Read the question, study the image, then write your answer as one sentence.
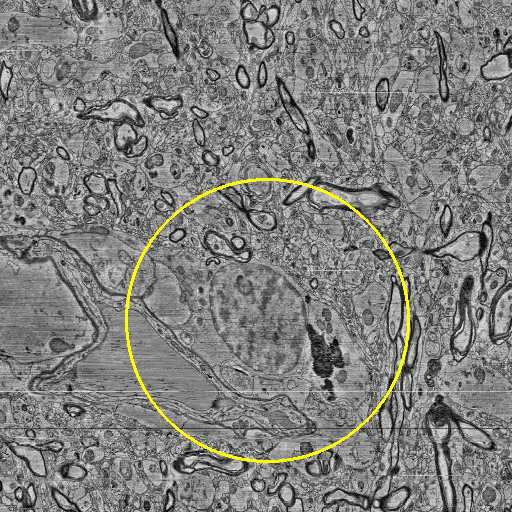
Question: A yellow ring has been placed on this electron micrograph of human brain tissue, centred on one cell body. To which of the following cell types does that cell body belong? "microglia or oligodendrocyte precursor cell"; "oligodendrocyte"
That cell body belongs to an oligodendrocyte.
